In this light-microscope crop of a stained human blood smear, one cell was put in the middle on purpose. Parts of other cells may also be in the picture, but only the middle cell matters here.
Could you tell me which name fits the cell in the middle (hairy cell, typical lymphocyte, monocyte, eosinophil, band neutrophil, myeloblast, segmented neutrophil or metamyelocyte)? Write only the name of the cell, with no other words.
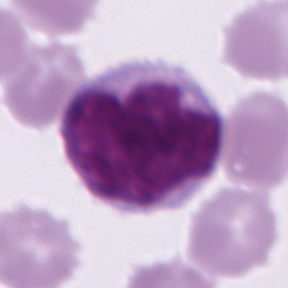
myeloblast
